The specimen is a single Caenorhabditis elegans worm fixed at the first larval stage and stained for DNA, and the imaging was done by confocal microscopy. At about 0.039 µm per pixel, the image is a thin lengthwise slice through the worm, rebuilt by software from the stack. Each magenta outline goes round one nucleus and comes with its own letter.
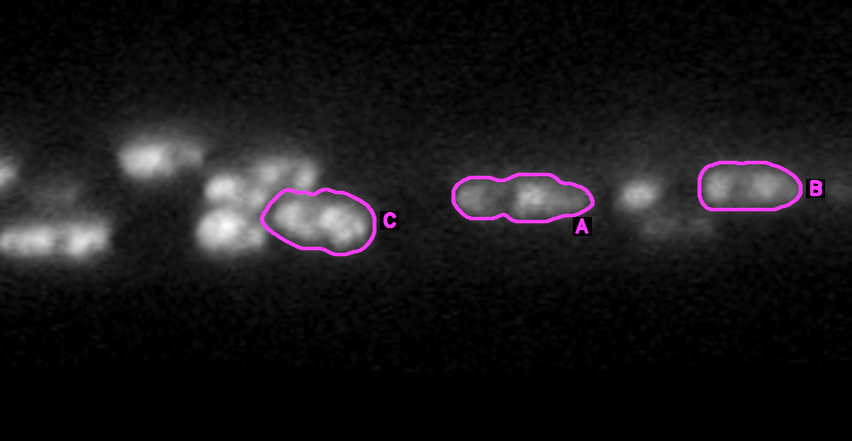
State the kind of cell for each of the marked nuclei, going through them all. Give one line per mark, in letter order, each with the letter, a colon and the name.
A: hypodermal cell (hyp)
B: hypodermal cell (hyp)
C: body wall muscle cell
